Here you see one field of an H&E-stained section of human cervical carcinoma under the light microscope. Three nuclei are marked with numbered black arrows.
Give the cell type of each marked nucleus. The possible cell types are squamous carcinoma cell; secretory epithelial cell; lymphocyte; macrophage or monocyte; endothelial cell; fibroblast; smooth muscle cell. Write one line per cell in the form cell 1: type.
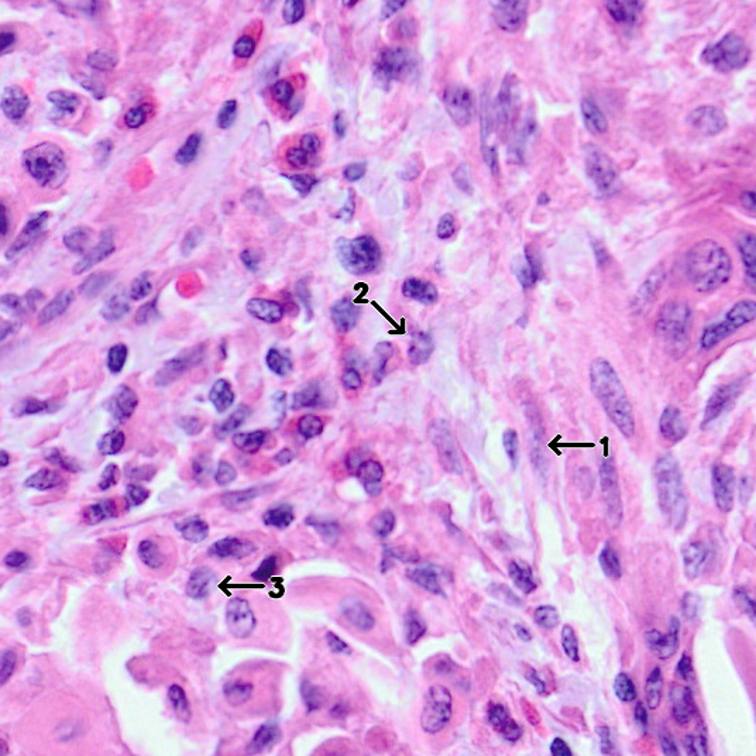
cell 1: fibroblast
cell 2: macrophage or monocyte
cell 3: macrophage or monocyte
